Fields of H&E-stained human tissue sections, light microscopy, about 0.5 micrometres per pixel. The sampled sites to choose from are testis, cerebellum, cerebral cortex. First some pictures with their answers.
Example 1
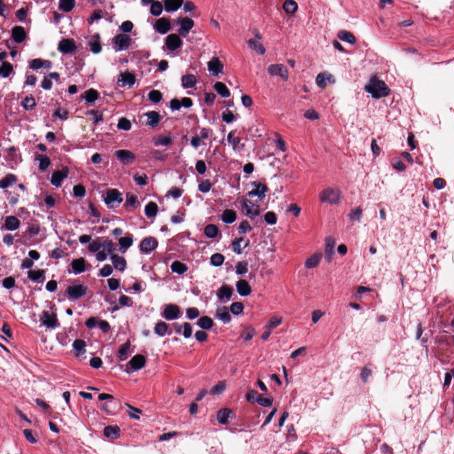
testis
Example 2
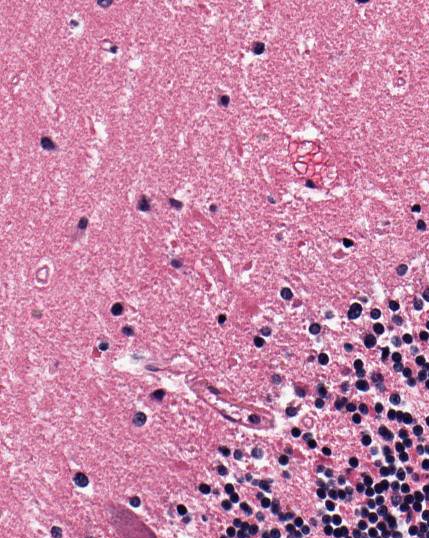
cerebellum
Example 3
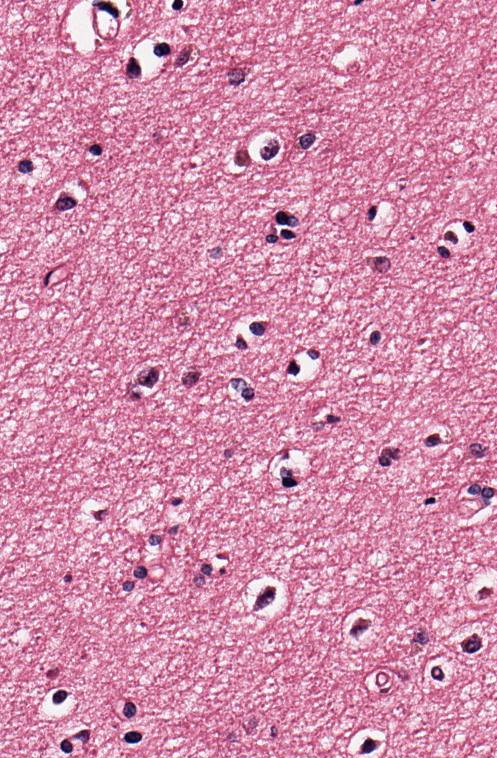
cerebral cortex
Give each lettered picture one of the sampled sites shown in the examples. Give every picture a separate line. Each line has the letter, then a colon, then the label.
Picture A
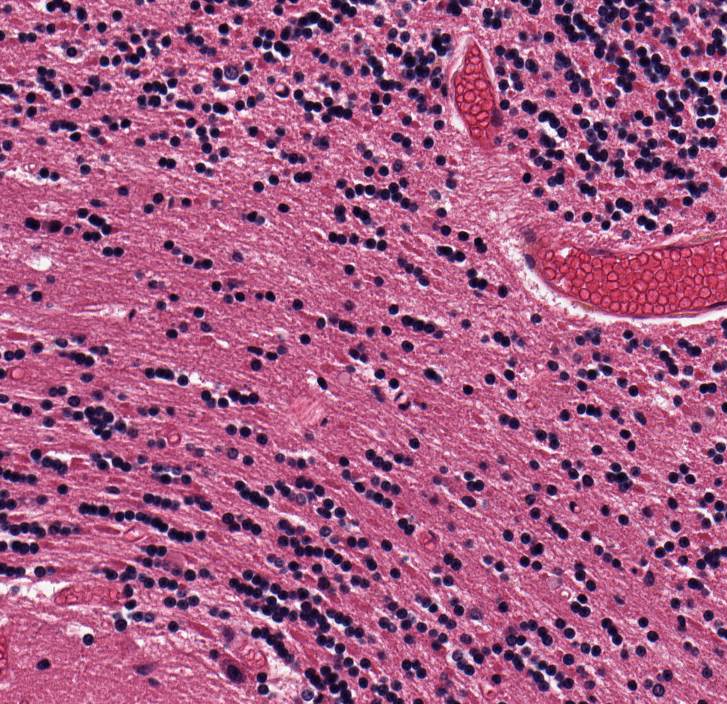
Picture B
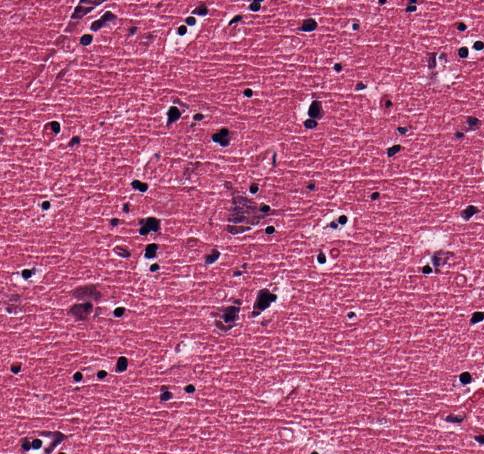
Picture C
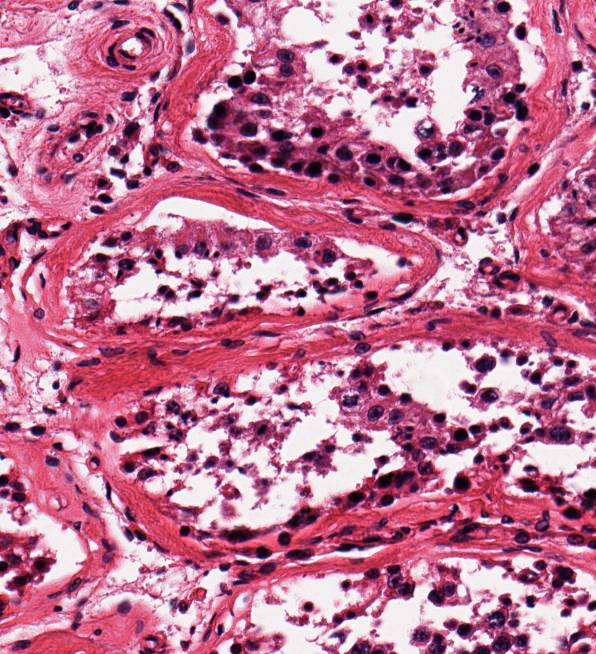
A: cerebellum
B: cerebral cortex
C: testis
